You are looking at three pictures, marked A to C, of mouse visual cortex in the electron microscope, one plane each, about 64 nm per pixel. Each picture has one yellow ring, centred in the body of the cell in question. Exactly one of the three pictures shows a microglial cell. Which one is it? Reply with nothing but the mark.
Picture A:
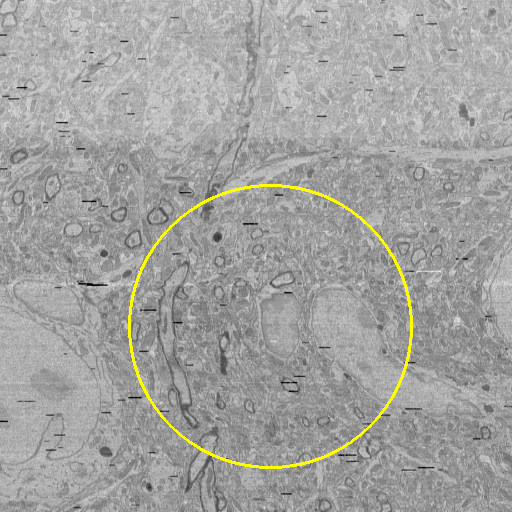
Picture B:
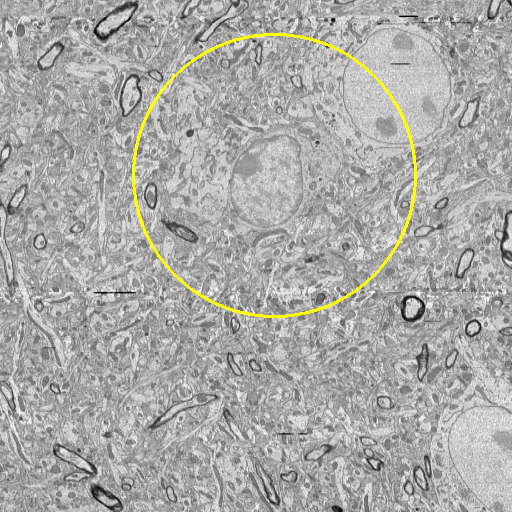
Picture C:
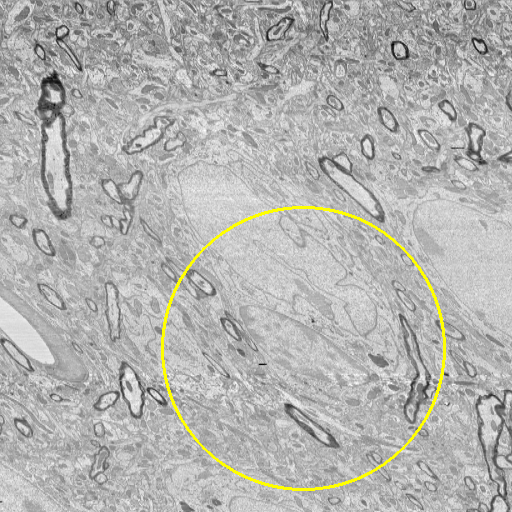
A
